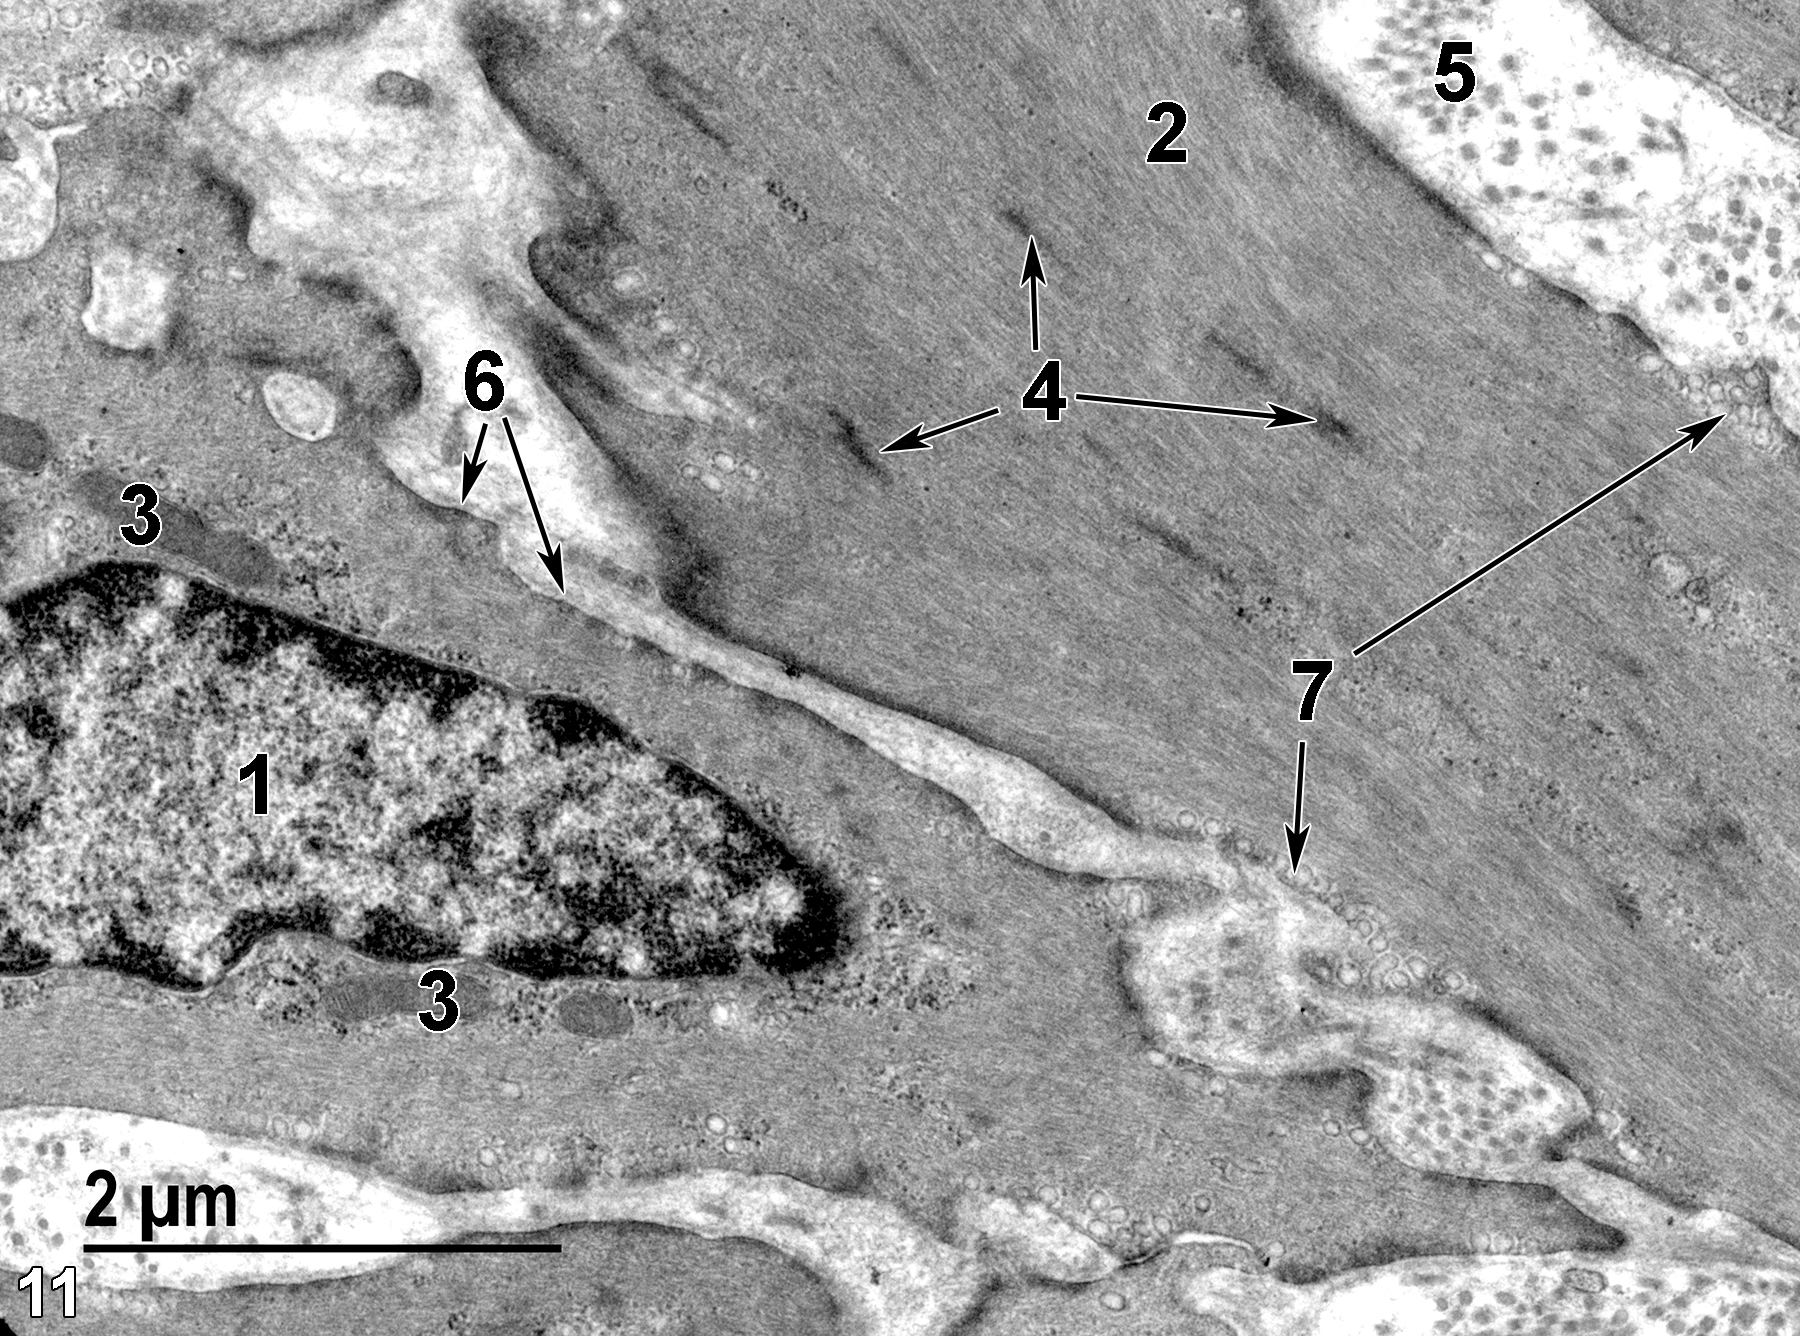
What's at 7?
The number 7 marks the micro-pinocytotic vesicles.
